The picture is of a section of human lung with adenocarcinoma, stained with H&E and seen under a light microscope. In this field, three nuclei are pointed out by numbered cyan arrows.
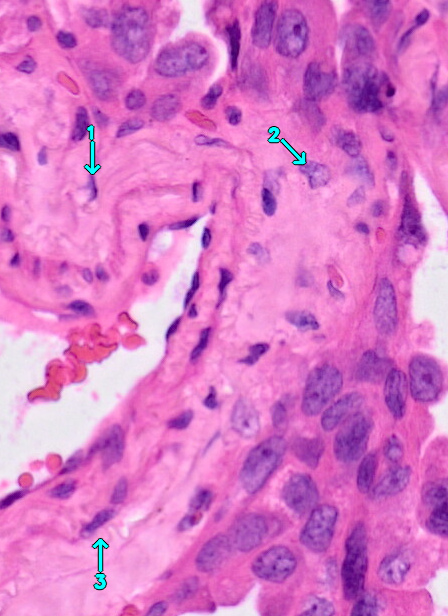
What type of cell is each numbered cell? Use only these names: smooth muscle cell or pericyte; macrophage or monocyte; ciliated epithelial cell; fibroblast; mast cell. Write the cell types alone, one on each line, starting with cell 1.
fibroblast
fibroblast
smooth muscle cell or pericyte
